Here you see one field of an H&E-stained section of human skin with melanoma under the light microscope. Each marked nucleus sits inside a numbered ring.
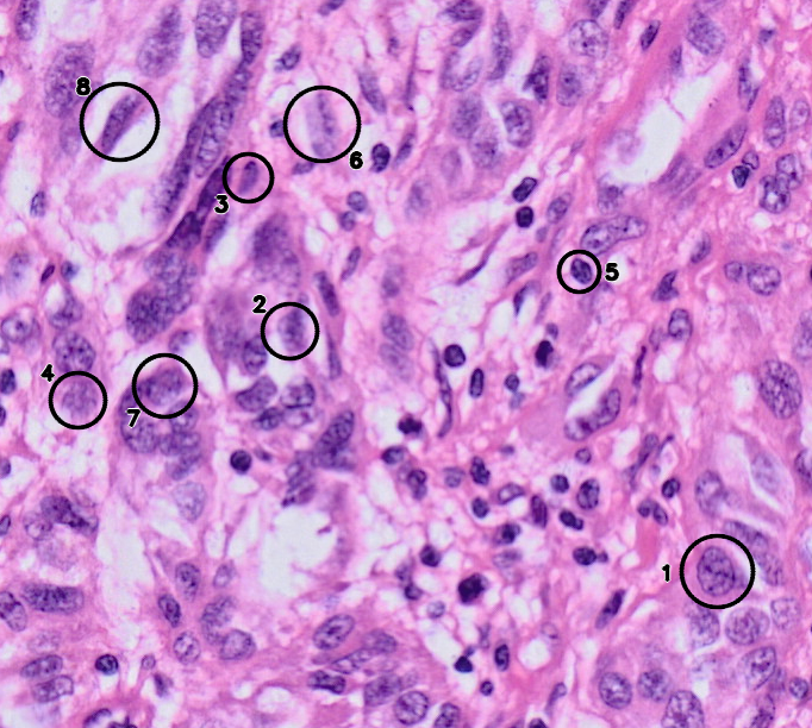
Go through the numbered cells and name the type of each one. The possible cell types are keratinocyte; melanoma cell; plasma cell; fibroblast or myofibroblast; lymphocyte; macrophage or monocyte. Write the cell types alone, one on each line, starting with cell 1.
melanoma cell
melanoma cell
macrophage or monocyte
melanoma cell
lymphocyte
fibroblast or myofibroblast
melanoma cell
melanoma cell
